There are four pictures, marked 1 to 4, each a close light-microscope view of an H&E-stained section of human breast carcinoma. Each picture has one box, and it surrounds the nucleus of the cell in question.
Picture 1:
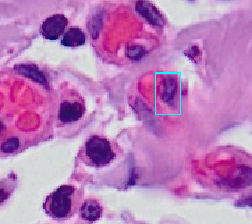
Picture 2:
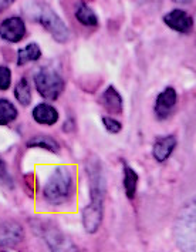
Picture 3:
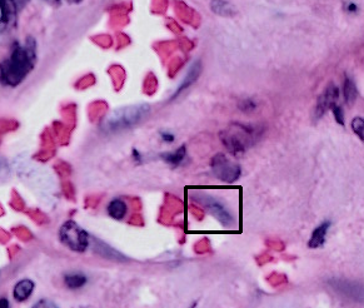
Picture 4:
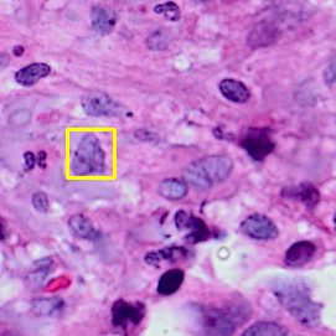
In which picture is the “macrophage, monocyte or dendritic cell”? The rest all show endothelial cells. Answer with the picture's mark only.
4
